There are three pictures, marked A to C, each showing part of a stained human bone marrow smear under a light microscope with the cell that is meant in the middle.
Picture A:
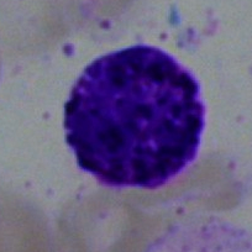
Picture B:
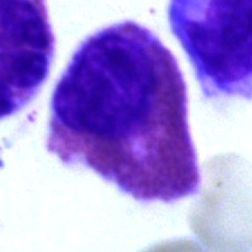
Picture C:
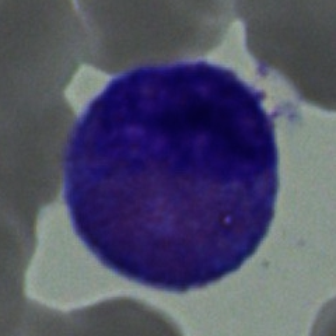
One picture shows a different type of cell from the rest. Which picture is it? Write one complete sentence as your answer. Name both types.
Picture A differs, because its cell is a basophil and the rest are eosinophils.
